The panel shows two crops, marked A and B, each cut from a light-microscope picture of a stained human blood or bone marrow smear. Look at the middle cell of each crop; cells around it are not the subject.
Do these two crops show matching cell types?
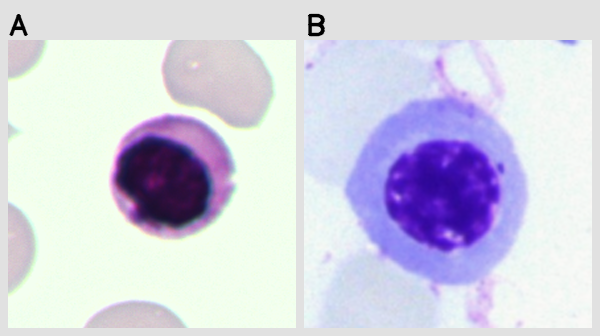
yes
